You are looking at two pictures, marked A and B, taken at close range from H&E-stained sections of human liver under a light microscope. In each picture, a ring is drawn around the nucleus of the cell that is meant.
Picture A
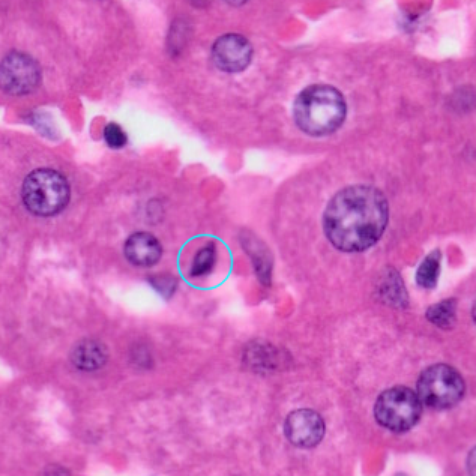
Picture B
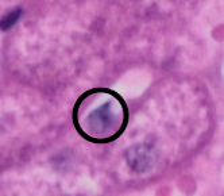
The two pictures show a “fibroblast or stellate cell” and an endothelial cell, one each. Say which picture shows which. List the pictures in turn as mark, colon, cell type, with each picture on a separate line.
A: fibroblast or stellate cell
B: endothelial cell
